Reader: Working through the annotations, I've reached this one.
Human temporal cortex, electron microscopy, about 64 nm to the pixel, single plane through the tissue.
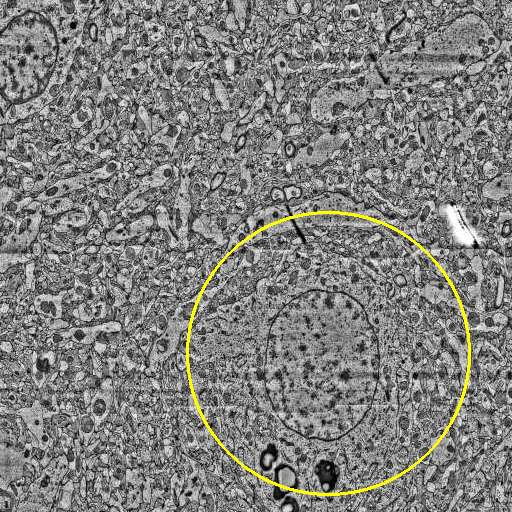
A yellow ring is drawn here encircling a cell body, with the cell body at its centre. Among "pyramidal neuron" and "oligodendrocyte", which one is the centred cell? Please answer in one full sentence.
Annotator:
The cell body at the centre of the yellow ring in this image belongs to a pyramidal neuron.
